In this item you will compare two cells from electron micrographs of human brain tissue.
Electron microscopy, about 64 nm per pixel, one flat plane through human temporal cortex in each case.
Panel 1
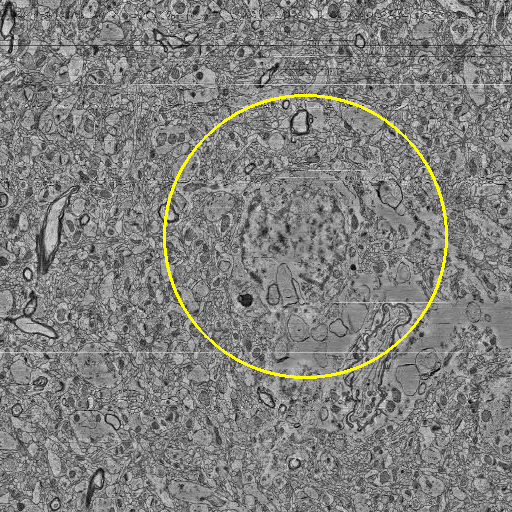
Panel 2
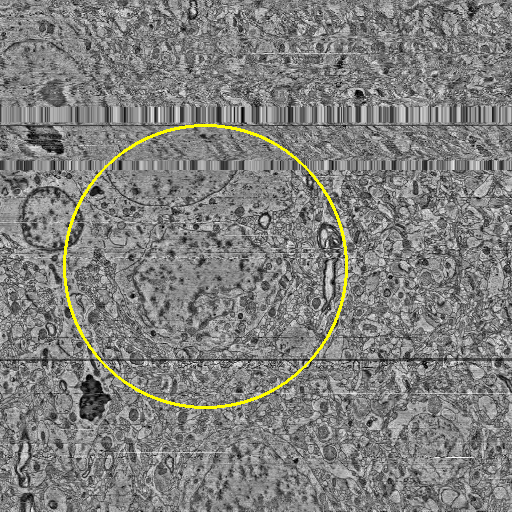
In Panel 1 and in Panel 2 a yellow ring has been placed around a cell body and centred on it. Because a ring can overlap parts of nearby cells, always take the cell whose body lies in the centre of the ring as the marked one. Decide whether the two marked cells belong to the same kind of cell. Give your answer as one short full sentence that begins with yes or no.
Yes, the two marked cells belong to the same kind of cell.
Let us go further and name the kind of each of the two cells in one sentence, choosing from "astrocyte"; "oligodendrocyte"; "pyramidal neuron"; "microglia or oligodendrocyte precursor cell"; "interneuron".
The first and the second cell are each an interneuron.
